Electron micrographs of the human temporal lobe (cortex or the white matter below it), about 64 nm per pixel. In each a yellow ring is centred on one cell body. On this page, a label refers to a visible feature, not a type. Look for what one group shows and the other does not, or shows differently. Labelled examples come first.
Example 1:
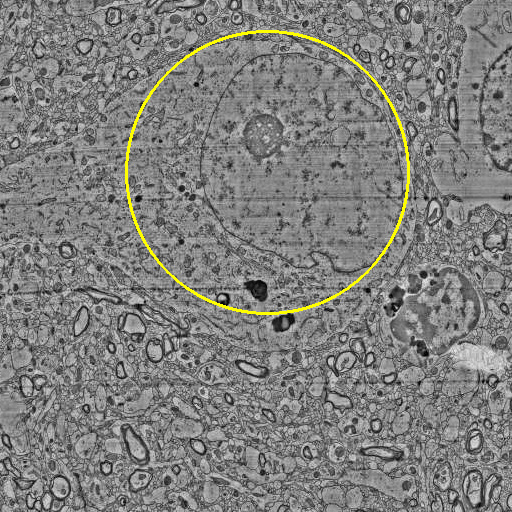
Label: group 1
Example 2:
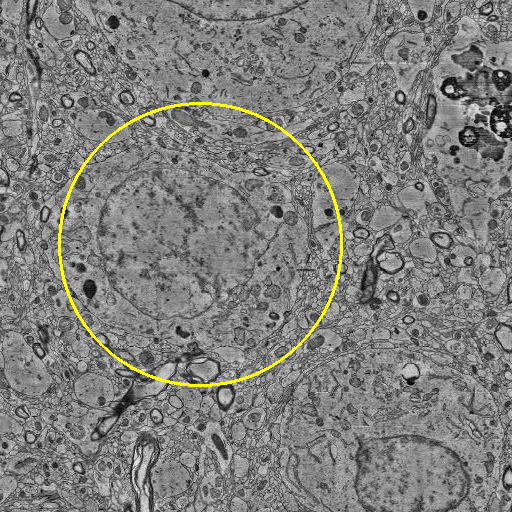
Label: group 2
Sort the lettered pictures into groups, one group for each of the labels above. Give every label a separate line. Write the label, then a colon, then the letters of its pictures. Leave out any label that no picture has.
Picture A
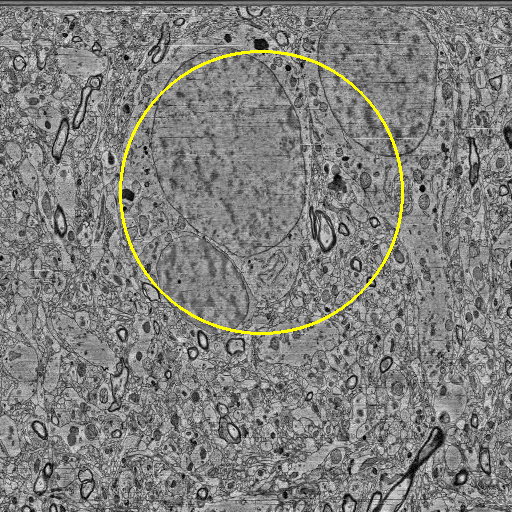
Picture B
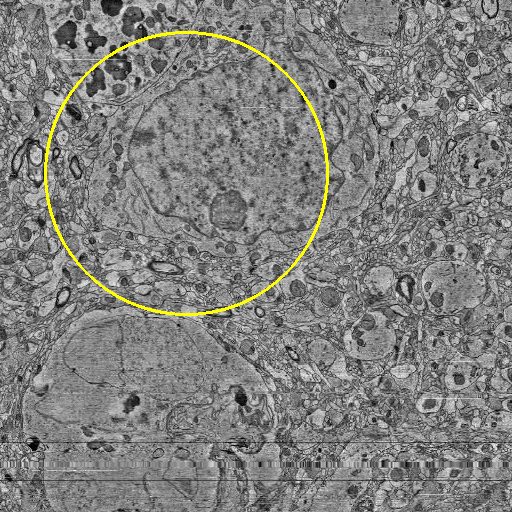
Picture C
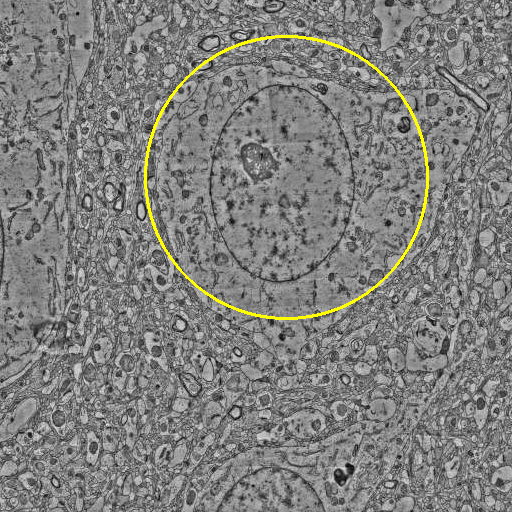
group 1: B, C
group 2: A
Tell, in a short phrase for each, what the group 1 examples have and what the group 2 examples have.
group 1: nucleolus seen; group 2: no nucleolus seen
